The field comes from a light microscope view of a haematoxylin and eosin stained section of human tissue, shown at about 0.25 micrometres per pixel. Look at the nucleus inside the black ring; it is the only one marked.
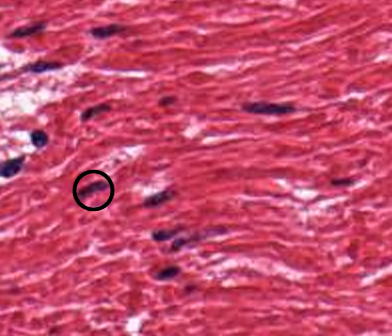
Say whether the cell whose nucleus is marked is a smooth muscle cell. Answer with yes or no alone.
yes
